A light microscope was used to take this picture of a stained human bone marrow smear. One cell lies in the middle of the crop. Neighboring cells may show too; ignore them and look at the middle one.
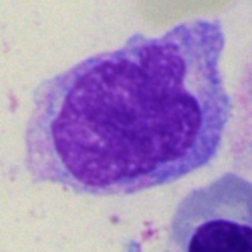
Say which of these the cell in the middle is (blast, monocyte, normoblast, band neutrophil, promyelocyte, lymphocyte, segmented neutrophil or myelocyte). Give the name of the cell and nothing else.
monocyte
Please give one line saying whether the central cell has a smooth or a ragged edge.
The border of the cell is irregular, being either ragged or extended into projections.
